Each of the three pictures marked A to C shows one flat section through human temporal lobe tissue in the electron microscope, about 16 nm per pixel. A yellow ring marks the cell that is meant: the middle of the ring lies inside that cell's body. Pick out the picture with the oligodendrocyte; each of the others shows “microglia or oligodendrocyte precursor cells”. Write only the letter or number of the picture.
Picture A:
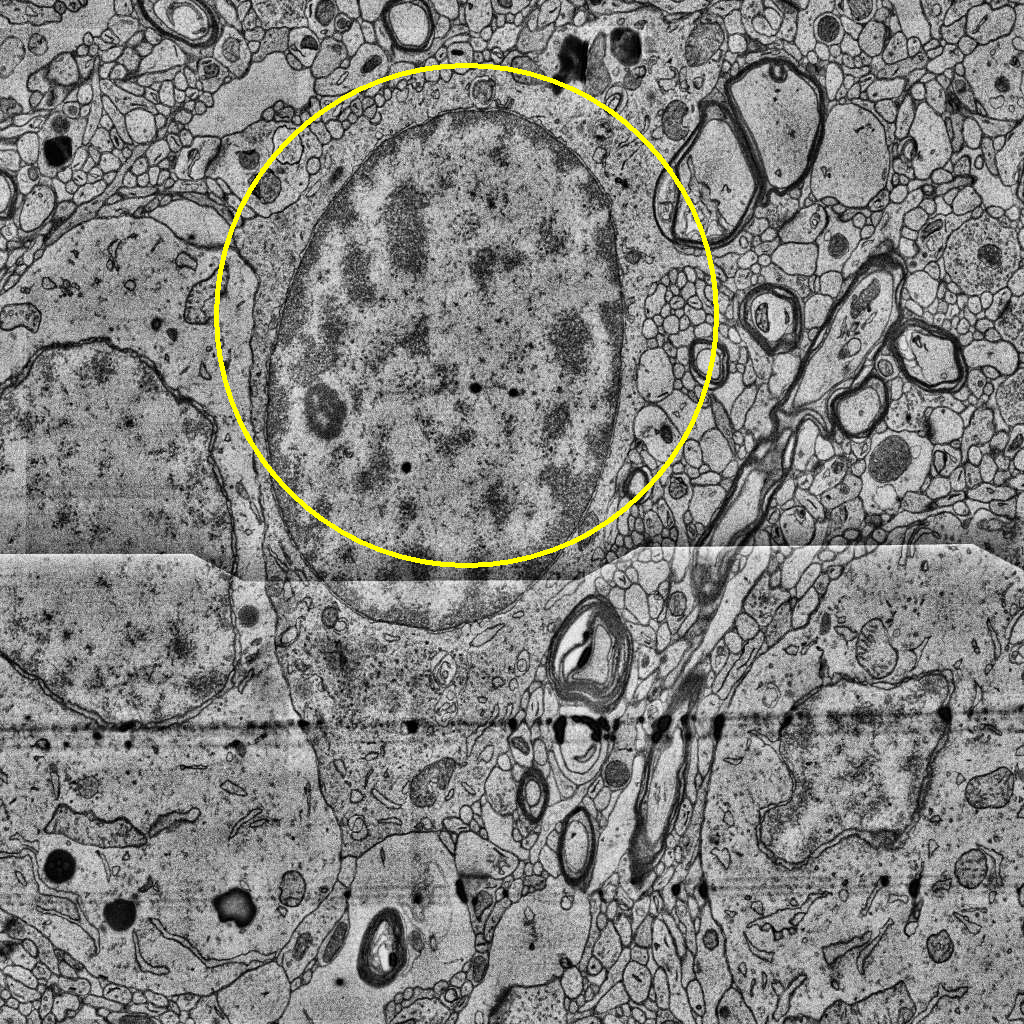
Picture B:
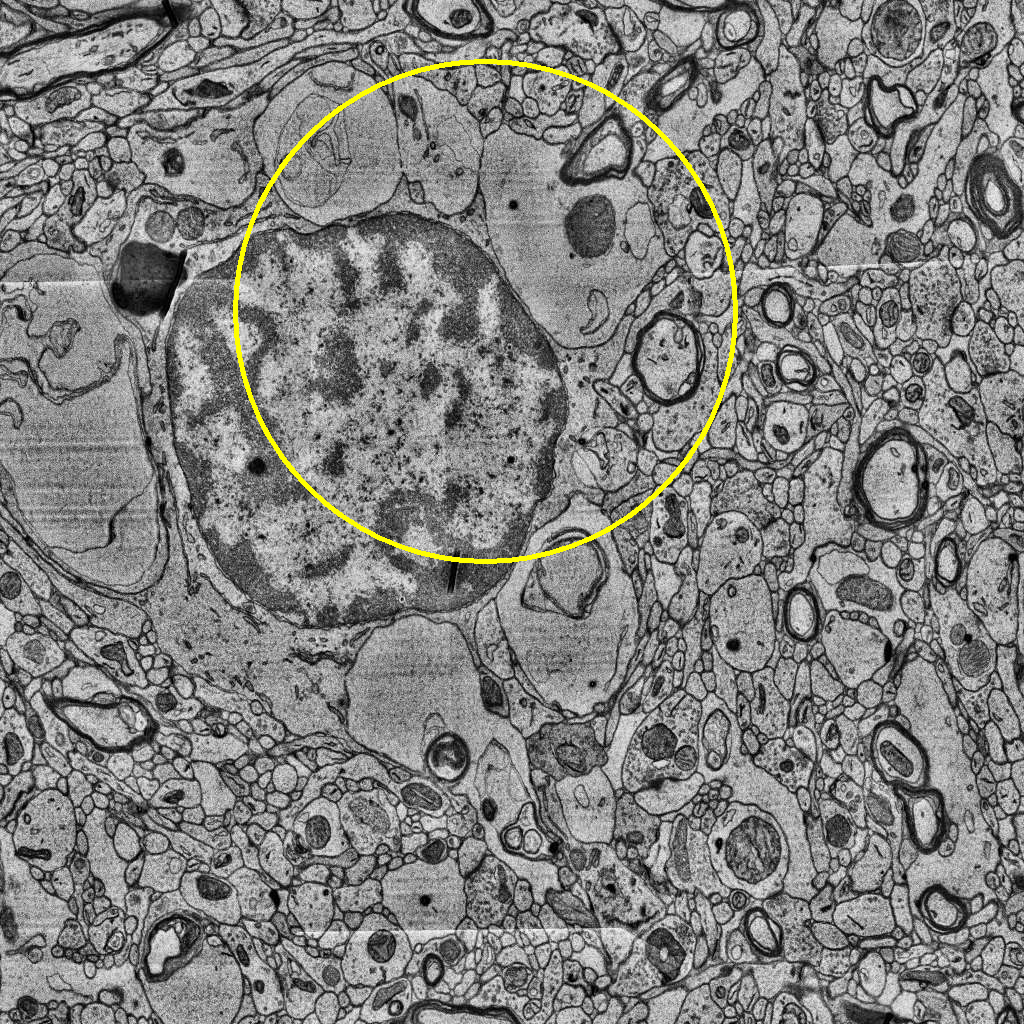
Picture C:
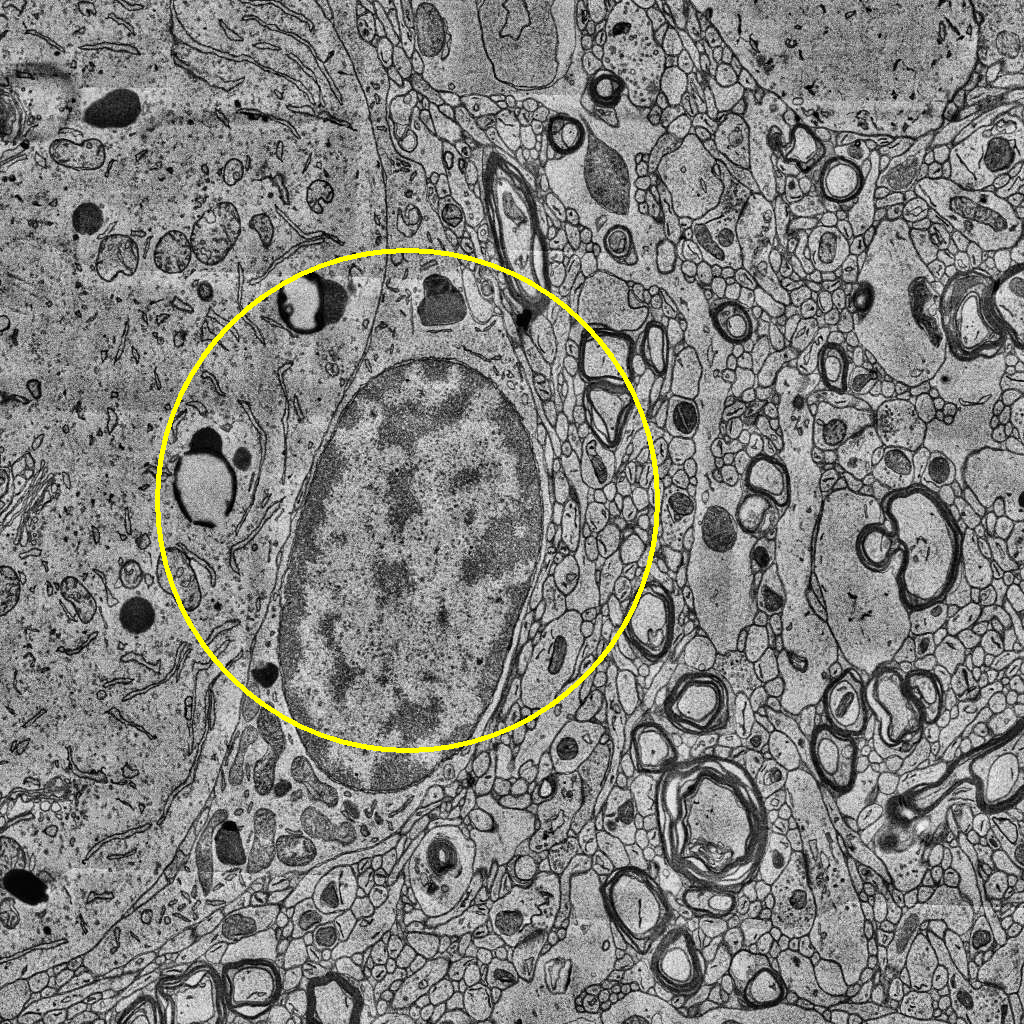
A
